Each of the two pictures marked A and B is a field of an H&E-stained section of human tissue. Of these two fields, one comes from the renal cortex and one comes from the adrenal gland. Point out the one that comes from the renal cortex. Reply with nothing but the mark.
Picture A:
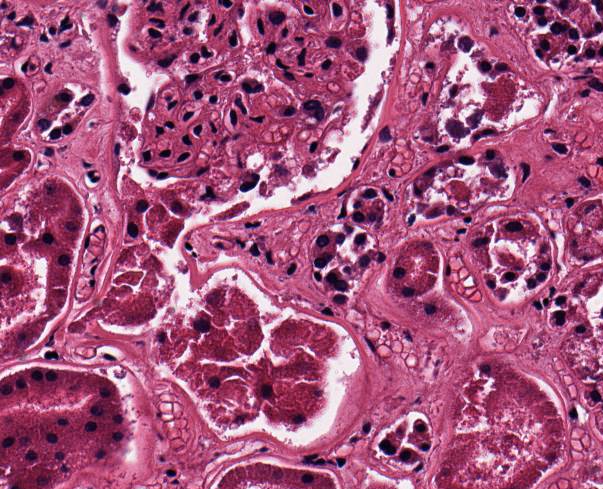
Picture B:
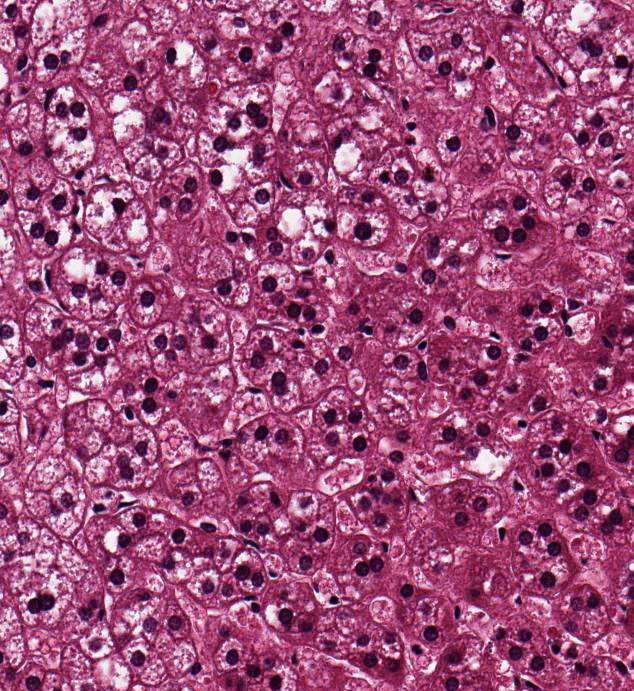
A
